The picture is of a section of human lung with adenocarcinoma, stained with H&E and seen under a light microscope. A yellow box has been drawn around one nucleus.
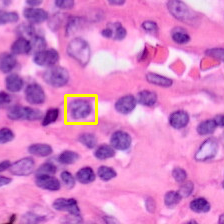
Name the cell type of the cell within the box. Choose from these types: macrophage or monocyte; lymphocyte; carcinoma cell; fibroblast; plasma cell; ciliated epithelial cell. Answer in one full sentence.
Microscopically, the cell within the box is categorized as a lymphocyte.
